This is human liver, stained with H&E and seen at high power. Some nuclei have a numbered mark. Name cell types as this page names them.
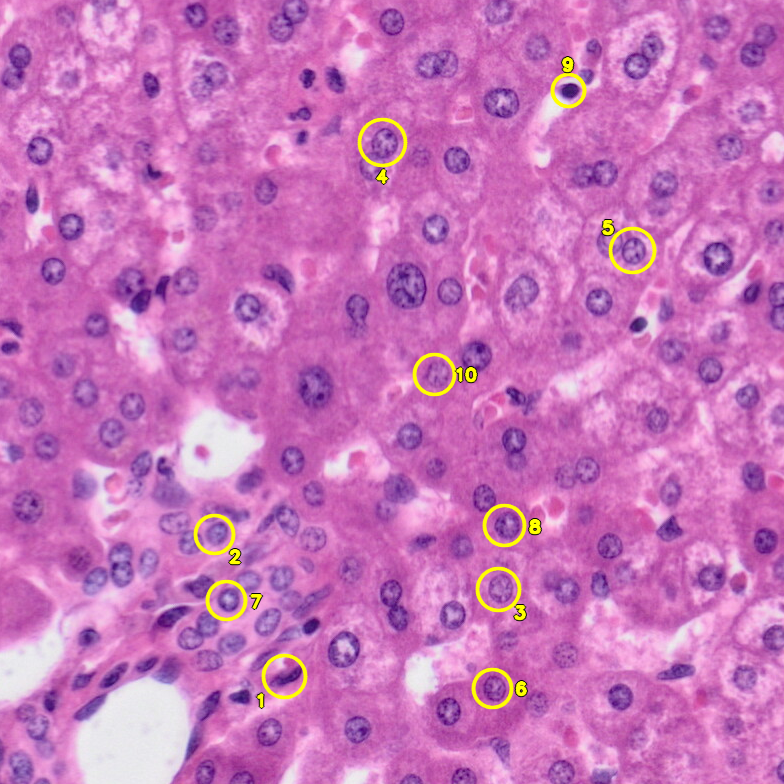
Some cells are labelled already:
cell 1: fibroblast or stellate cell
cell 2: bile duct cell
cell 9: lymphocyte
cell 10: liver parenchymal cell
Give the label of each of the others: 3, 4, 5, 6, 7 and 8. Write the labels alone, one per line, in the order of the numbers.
liver parenchymal cell
liver parenchymal cell
liver parenchymal cell
liver parenchymal cell
bile duct cell
liver parenchymal cell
